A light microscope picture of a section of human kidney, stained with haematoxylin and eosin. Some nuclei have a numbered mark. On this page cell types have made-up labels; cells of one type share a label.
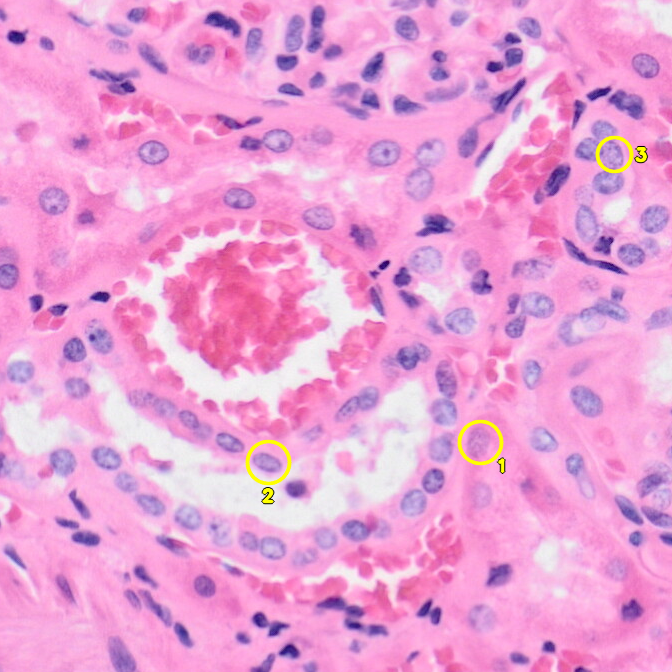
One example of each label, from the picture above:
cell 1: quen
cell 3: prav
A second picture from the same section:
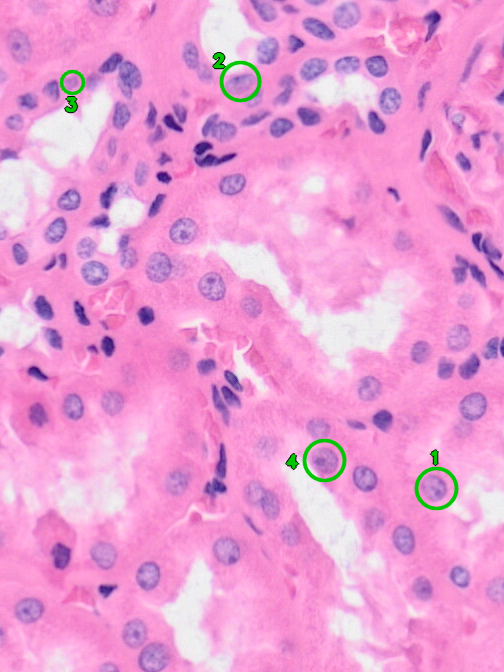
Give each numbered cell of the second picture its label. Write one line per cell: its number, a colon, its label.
1: quen
2: prav
3: prav
4: quen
